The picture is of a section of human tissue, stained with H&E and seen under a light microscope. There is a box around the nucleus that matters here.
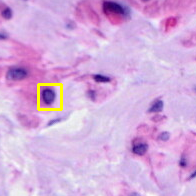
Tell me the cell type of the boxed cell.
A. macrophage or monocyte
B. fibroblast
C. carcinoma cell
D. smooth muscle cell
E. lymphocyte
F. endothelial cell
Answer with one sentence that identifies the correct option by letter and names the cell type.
Option D names it right: the boxed cell is a smooth muscle cell.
